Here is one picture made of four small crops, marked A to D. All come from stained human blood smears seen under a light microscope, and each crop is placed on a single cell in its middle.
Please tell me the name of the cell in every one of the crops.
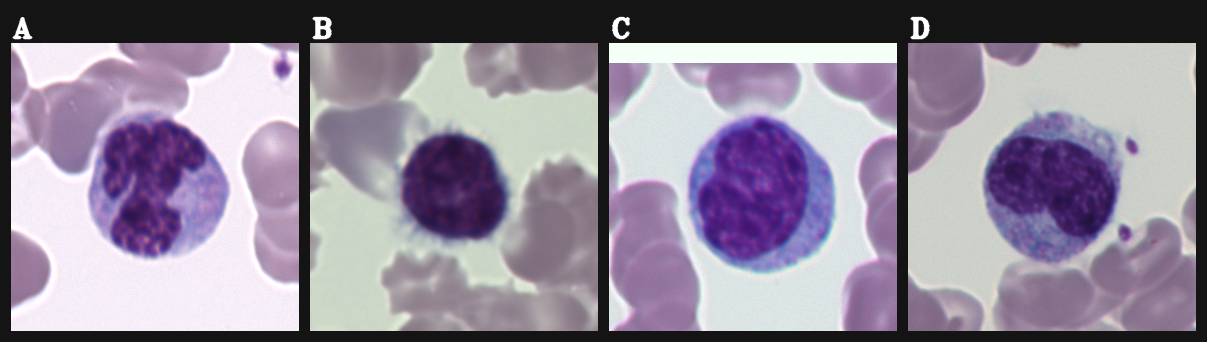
A: monocyte
B: hairy cell
C: monocyte
D: monocyte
